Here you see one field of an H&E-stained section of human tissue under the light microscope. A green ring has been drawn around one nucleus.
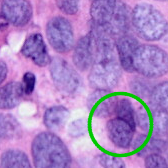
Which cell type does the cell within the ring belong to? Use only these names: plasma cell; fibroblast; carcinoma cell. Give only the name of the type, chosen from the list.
carcinoma cell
